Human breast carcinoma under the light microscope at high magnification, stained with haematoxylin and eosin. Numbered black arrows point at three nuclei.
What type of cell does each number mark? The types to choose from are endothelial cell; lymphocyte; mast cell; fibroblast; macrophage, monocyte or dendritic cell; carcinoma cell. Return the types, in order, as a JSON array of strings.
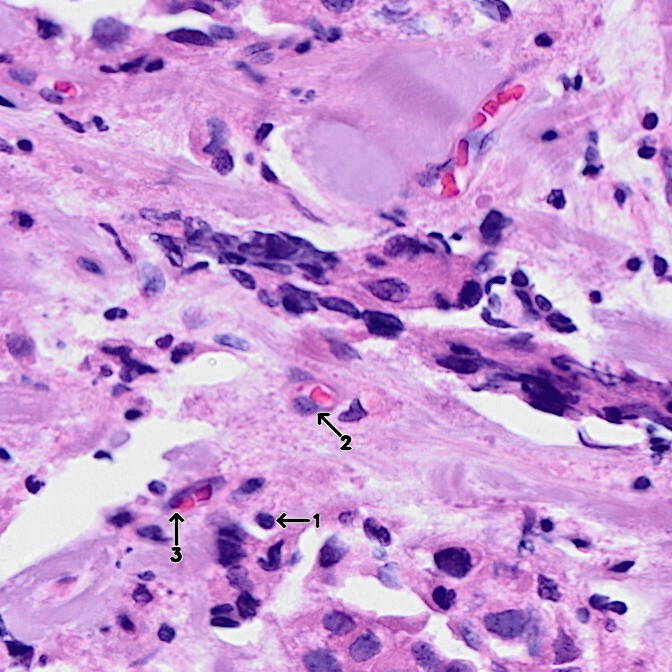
["lymphocyte", "endothelial cell", "endothelial cell"]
